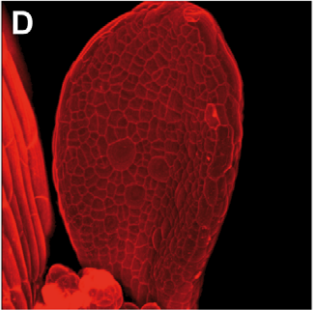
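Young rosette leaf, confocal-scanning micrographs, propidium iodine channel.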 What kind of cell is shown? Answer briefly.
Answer: Epidermal pavement cells.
